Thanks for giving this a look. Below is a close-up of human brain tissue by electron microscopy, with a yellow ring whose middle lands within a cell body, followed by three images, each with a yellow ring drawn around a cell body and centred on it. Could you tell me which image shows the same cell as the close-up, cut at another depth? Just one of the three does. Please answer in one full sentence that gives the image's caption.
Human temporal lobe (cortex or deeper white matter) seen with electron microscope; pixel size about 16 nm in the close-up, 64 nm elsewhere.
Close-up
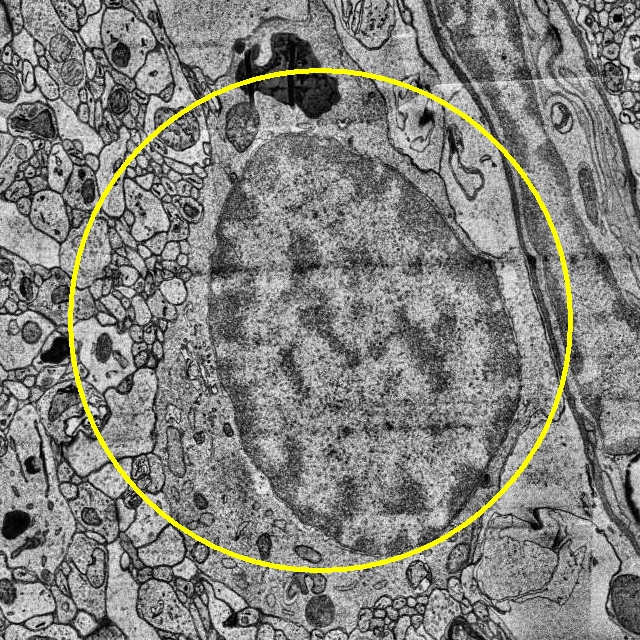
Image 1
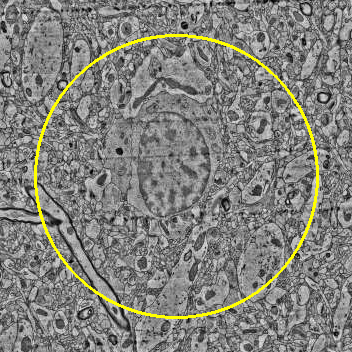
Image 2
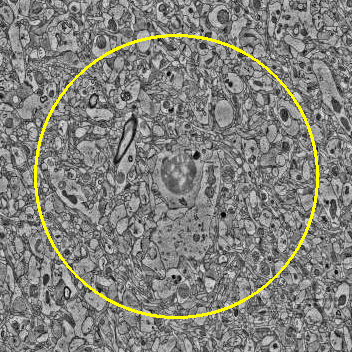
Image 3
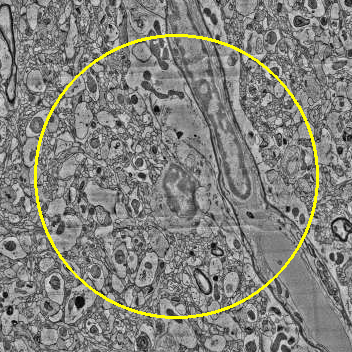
The cell examined up close is the one ringed in Image 3.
